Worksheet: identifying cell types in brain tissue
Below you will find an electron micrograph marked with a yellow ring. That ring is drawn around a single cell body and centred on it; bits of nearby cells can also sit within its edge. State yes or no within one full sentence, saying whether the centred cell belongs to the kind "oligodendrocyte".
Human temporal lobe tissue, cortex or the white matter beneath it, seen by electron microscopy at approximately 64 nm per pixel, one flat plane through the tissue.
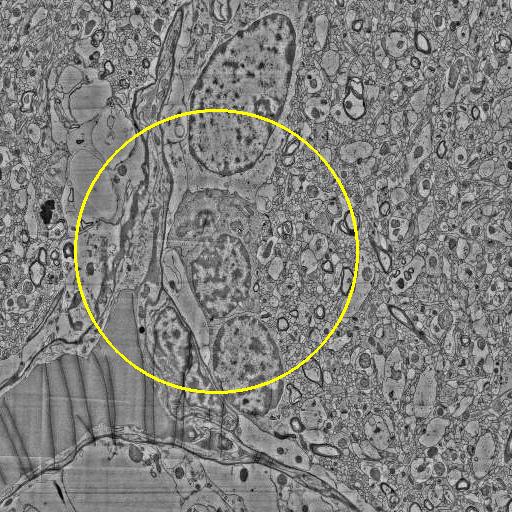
Yes, the cell sitting at the centre of the yellow ring in this picture is of that kind.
